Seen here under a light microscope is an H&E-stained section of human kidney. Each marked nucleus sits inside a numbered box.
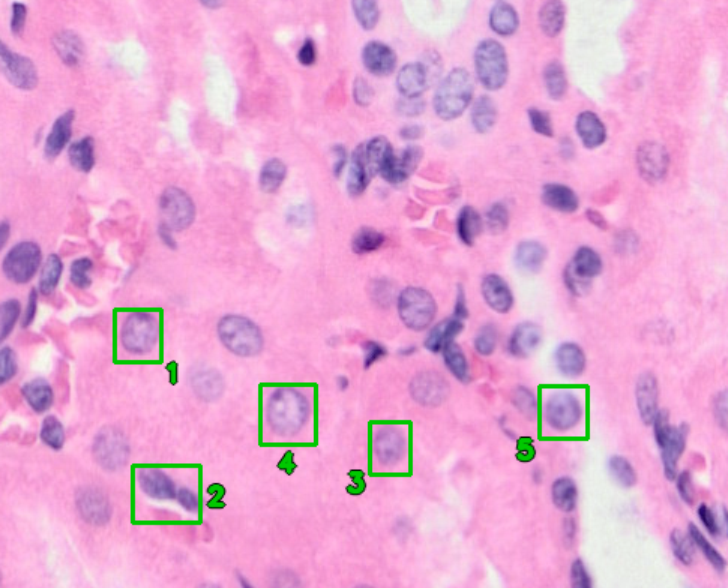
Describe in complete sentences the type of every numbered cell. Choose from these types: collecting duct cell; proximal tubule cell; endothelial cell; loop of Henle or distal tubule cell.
Cell 1 is a proximal tubule cell, cell 2 is an endothelial cell, cell 3 is a proximal tubule cell, cell 4 is a proximal tubule cell and cell 5 is a loop of Henle or distal tubule cell.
